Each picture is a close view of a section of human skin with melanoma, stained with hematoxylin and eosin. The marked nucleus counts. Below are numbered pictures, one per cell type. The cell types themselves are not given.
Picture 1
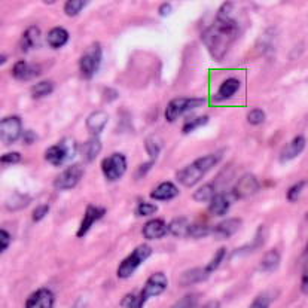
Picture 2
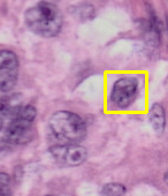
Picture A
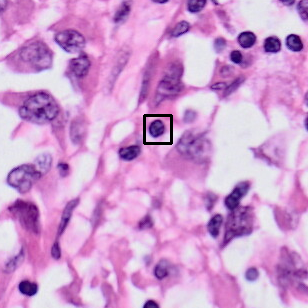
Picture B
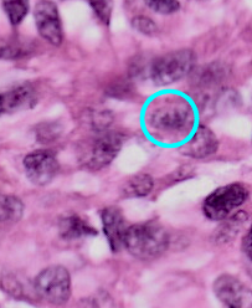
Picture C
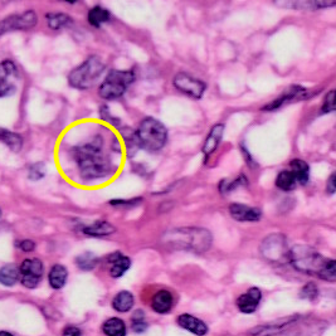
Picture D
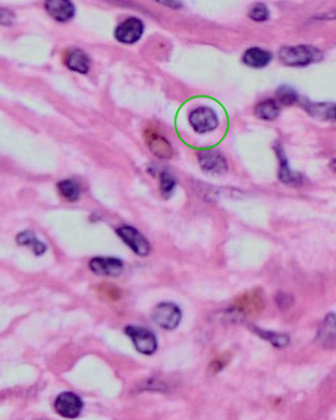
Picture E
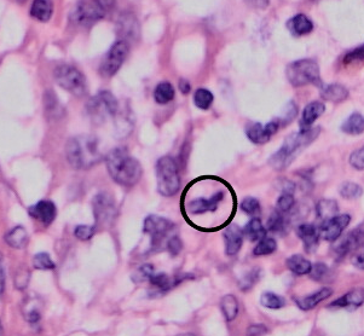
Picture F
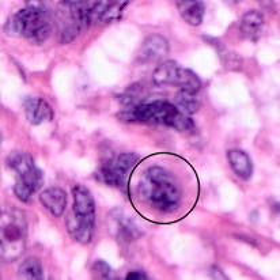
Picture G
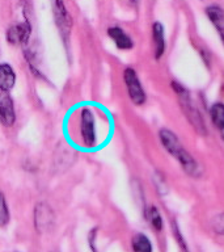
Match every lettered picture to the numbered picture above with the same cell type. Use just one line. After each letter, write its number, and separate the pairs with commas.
A 1, B 2, C 2, D 1, E 1, F 2, G 1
